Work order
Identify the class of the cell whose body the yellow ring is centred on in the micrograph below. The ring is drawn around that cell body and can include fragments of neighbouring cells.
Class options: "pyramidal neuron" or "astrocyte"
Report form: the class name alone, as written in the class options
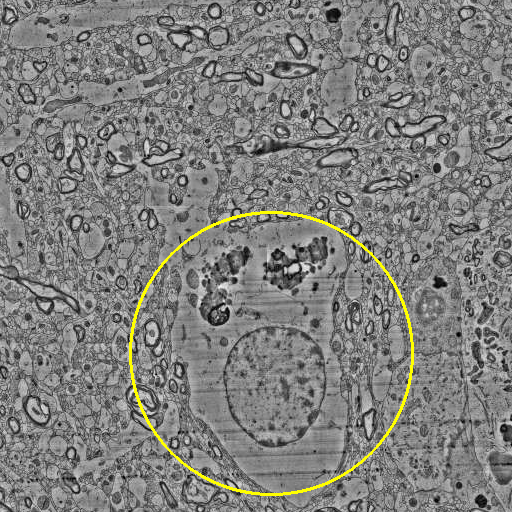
astrocyte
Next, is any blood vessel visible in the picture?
Yes, one is visible.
